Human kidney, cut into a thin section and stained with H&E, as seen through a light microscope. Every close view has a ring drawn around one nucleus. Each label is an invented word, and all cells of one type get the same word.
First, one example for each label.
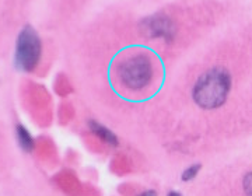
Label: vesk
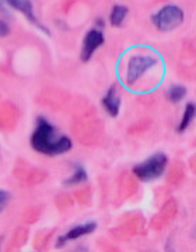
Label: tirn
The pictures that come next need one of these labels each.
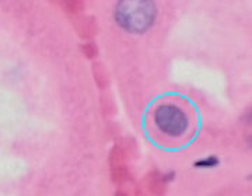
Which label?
vesk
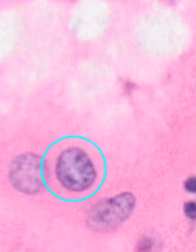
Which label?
vesk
